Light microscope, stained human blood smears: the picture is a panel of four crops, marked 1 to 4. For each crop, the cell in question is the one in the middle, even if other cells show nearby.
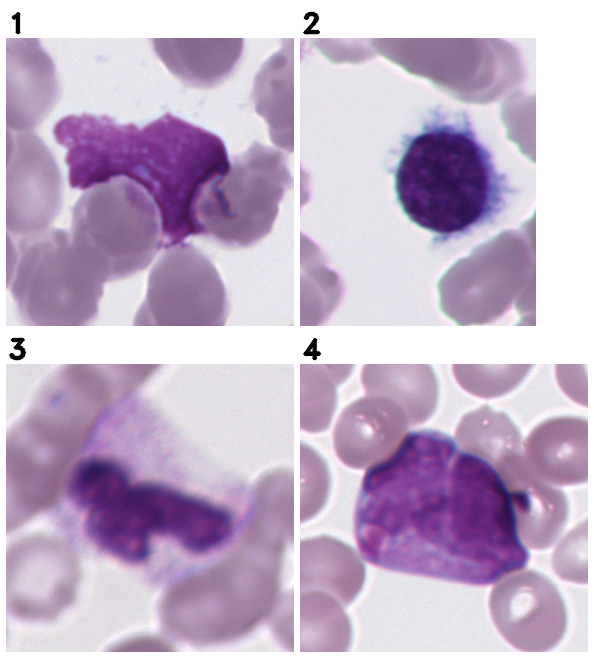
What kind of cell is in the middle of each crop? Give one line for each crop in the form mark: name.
1: smudge cell
2: hairy cell
3: segmented neutrophil
4: atypical promyelocyte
